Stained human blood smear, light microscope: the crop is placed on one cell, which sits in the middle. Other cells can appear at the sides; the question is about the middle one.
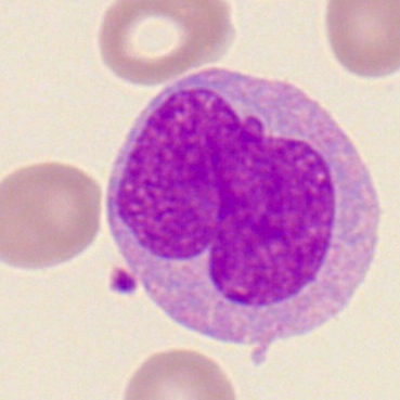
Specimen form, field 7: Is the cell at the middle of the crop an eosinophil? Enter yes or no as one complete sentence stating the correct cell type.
No, the central cell should be identified as a monocyte, not as an eosinophil.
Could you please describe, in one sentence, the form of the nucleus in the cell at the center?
You can count two or more lobes in this nucleus.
